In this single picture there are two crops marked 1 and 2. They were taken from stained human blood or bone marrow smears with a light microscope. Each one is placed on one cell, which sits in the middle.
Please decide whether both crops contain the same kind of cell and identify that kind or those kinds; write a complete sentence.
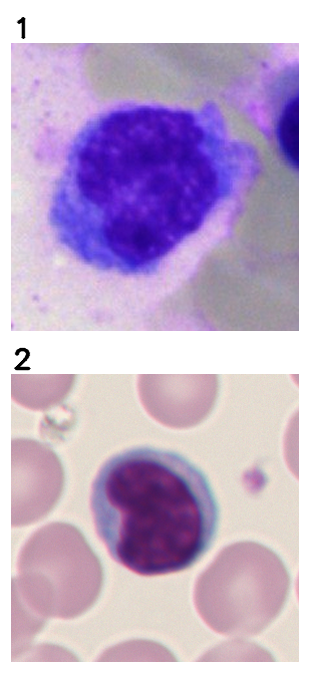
No, crop 1 contains a monocyte; a lymphocyte is what crop 2 contains.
